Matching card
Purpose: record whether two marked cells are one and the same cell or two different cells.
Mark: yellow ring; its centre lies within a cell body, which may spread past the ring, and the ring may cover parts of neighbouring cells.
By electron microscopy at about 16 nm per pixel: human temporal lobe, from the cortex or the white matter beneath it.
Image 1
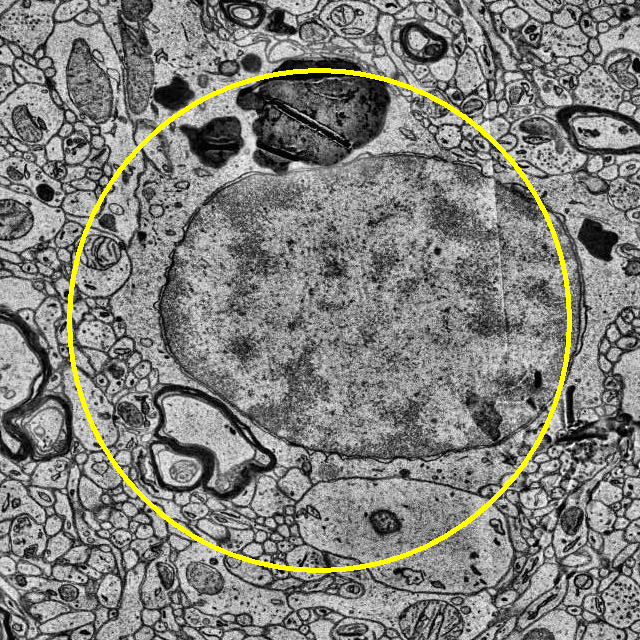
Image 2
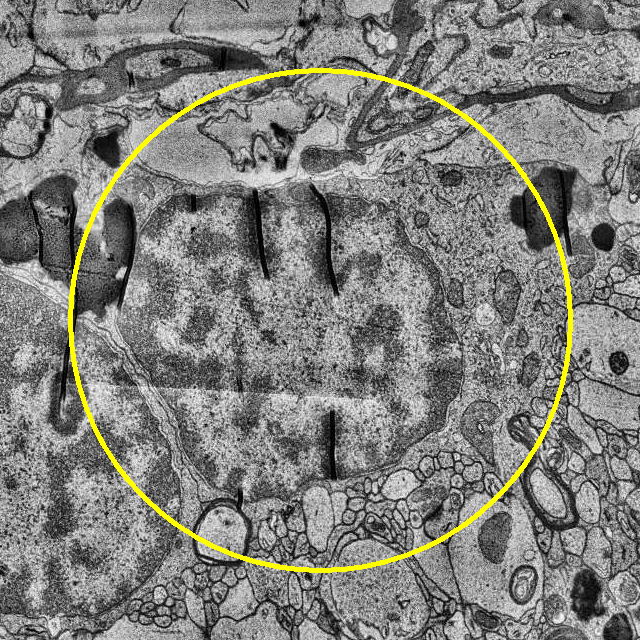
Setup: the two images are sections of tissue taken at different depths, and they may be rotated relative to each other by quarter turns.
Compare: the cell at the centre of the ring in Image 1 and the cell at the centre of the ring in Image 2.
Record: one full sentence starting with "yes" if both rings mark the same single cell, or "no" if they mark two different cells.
No, the pair of yellow rings marks two distinct cells.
